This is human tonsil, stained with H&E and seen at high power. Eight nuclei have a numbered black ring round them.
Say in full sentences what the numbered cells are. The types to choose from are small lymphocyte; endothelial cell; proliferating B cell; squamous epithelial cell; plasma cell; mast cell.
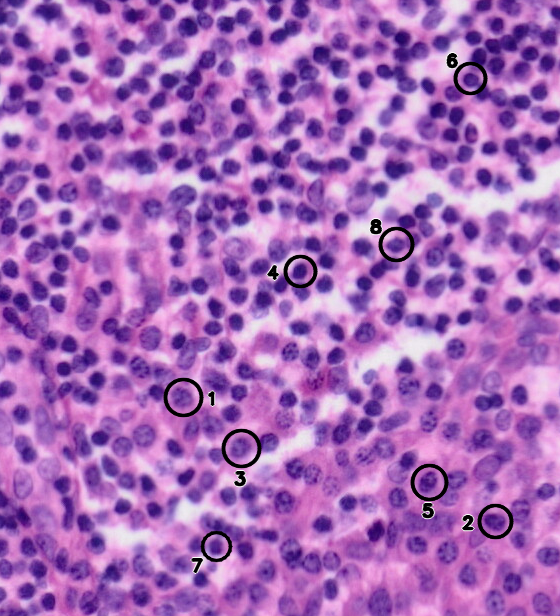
Cells 1, 2, 3 and 5 are plasma cells. Cells 4, 6, 7 and 8 are small lymphocytes.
